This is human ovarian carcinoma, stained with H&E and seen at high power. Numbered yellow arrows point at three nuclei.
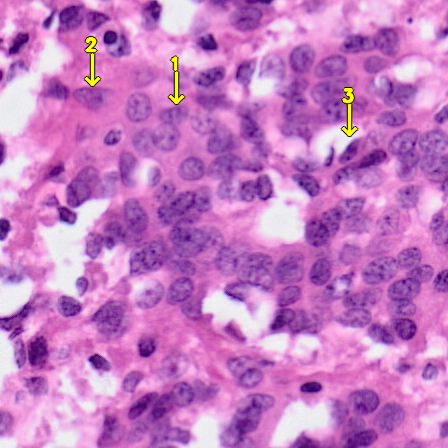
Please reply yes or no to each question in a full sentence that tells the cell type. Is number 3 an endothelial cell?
No, it is a carcinoma cell that is marked with number 3, not an endothelial cell.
